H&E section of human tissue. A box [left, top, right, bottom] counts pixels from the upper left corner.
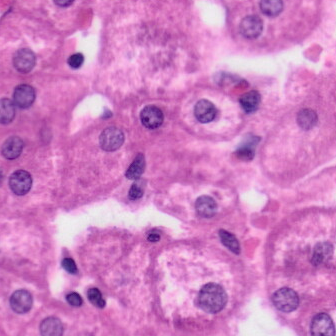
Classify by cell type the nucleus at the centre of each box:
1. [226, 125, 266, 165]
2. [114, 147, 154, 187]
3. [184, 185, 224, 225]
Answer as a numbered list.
1. endothelial cell
2. fibroblast or stellate cell
3. hepatocyte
